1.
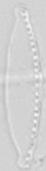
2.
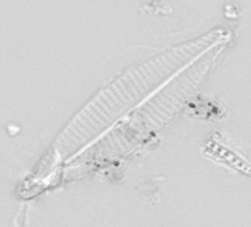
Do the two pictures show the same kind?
No: Nitzschia, then Navicula.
